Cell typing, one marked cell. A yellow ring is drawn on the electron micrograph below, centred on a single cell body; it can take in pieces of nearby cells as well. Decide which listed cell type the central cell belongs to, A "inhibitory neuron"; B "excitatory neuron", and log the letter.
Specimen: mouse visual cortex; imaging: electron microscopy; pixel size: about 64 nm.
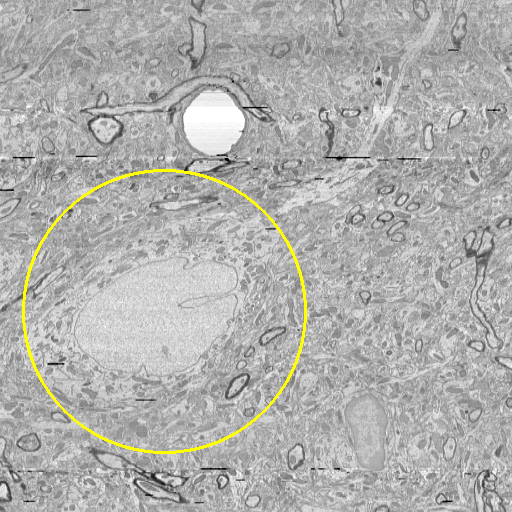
B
